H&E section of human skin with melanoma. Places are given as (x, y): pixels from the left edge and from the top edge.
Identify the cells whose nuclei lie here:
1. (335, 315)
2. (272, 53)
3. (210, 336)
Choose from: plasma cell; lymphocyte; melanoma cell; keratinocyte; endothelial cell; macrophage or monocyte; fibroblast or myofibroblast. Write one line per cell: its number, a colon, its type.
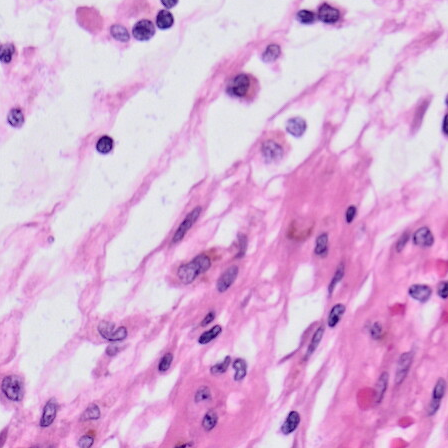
1: lymphocyte
2: macrophage or monocyte
3: lymphocyte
